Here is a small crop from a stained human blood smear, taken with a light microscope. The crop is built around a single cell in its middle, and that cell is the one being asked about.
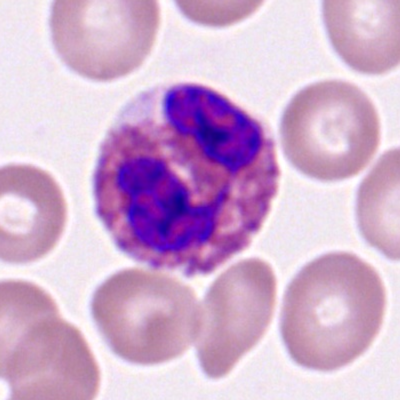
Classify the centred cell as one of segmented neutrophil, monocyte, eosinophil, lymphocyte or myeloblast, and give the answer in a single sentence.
Whatever else lies nearby, the middle cell is an eosinophil.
